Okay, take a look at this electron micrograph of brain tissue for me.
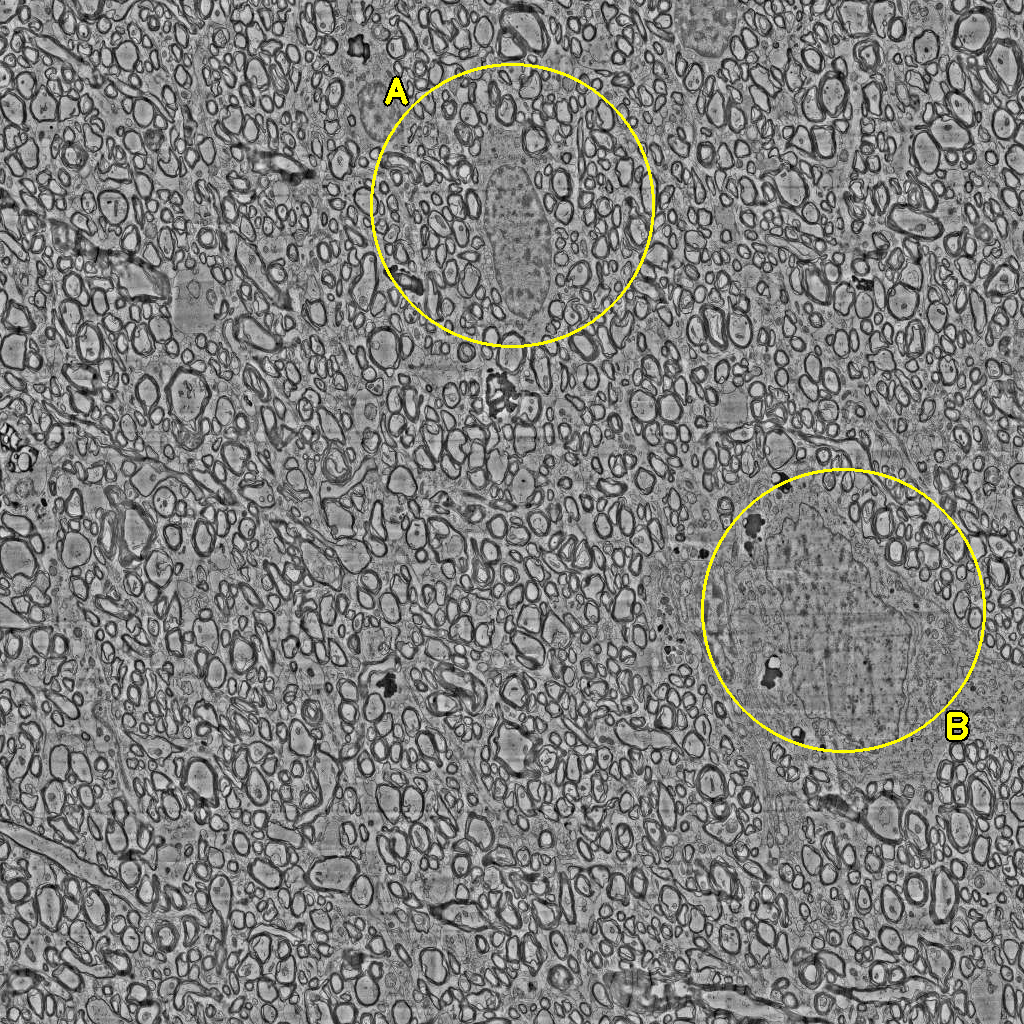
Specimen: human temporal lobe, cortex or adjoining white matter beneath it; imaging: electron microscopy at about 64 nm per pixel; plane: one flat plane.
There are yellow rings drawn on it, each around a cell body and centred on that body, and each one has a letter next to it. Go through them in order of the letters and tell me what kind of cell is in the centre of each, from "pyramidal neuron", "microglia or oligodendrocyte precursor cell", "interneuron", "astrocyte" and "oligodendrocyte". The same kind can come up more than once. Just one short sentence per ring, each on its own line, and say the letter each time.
In the centre of ring A there's an oligodendrocyte.
In the centre of ring B there's a pyramidal neuron.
